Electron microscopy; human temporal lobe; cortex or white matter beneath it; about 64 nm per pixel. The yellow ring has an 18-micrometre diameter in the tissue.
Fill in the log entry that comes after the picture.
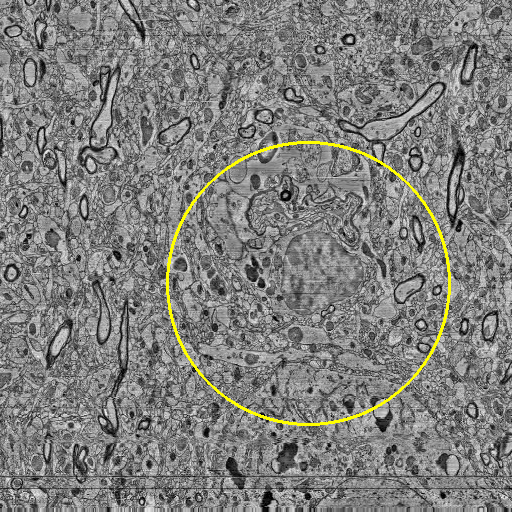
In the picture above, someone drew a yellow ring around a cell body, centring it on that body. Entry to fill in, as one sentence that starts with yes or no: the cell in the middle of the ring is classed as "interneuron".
No, the cell in the ring's centre in this image is of a different kind.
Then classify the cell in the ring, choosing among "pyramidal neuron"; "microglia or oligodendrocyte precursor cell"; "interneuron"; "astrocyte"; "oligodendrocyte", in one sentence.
The cell this ring marks is an oligodendrocyte.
